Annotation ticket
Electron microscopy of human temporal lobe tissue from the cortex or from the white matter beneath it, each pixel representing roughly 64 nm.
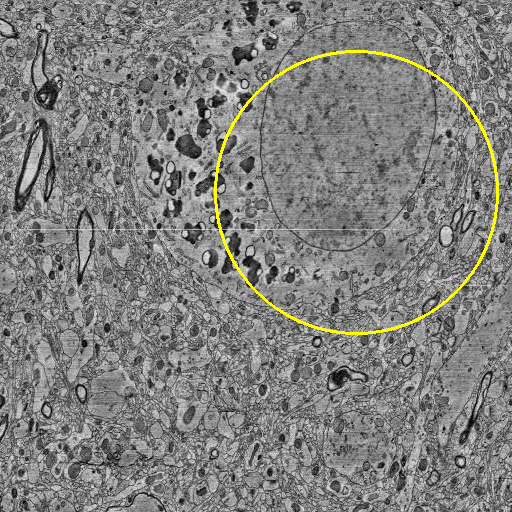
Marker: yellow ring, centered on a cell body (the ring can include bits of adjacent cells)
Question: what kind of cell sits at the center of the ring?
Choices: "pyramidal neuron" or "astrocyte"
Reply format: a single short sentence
The ring is centered on a pyramidal neuron.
